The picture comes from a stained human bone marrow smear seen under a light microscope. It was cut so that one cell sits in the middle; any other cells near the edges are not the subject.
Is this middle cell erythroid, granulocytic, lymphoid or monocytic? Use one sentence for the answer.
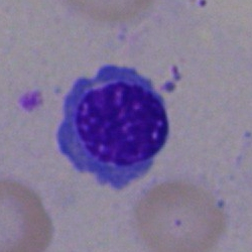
In the crop, the cell at the center is of erythroid lineage.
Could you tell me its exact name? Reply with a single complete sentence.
Of the cells in this crop, the central one is an erythroblast.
